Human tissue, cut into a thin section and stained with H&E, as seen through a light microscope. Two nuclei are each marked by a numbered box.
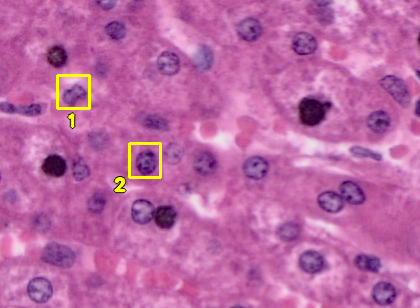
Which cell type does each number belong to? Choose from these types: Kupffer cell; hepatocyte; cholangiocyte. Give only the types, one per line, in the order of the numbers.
Kupffer cell
hepatocyte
